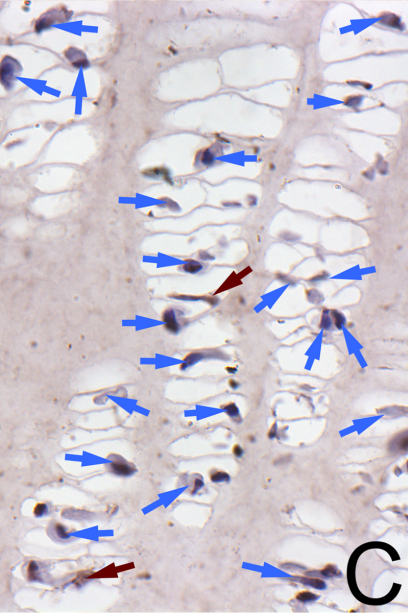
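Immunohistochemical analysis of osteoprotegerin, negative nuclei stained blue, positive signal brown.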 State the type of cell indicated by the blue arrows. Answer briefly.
Chondrocyte.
